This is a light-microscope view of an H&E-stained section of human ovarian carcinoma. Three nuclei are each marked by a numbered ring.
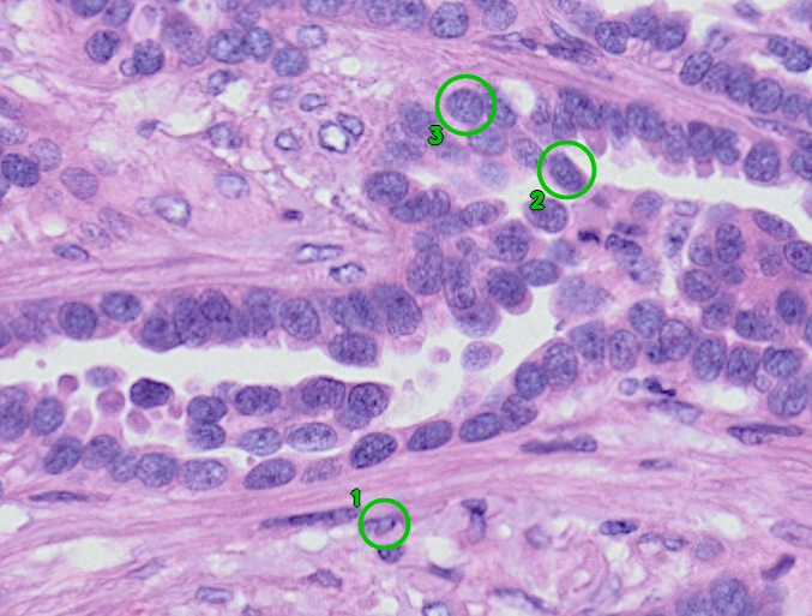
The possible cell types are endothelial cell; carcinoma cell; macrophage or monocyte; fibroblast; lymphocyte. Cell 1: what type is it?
fibroblast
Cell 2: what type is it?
carcinoma cell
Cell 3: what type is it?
carcinoma cell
